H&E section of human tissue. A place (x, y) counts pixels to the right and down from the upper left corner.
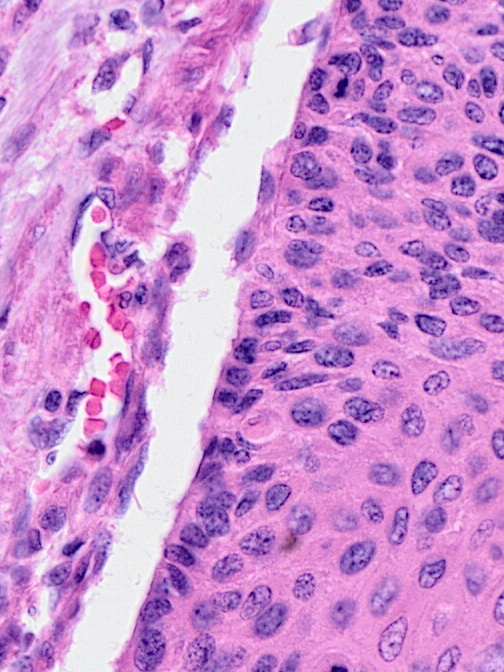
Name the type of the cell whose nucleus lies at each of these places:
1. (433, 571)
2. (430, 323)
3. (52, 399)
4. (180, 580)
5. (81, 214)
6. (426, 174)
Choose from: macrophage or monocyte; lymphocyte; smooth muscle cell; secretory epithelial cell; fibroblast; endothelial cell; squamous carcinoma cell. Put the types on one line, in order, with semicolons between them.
squamous carcinoma cell; squamous carcinoma cell; lymphocyte; squamous carcinoma cell; endothelial cell; squamous carcinoma cell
